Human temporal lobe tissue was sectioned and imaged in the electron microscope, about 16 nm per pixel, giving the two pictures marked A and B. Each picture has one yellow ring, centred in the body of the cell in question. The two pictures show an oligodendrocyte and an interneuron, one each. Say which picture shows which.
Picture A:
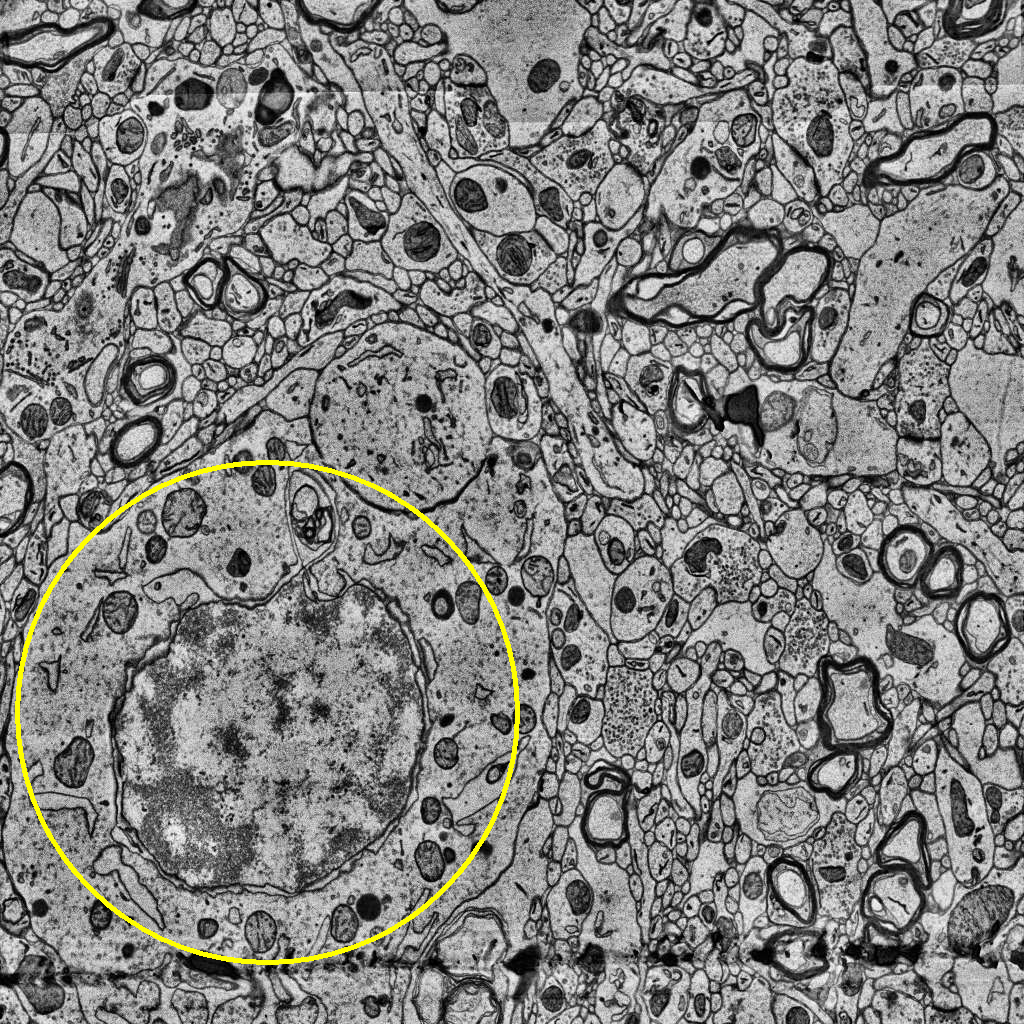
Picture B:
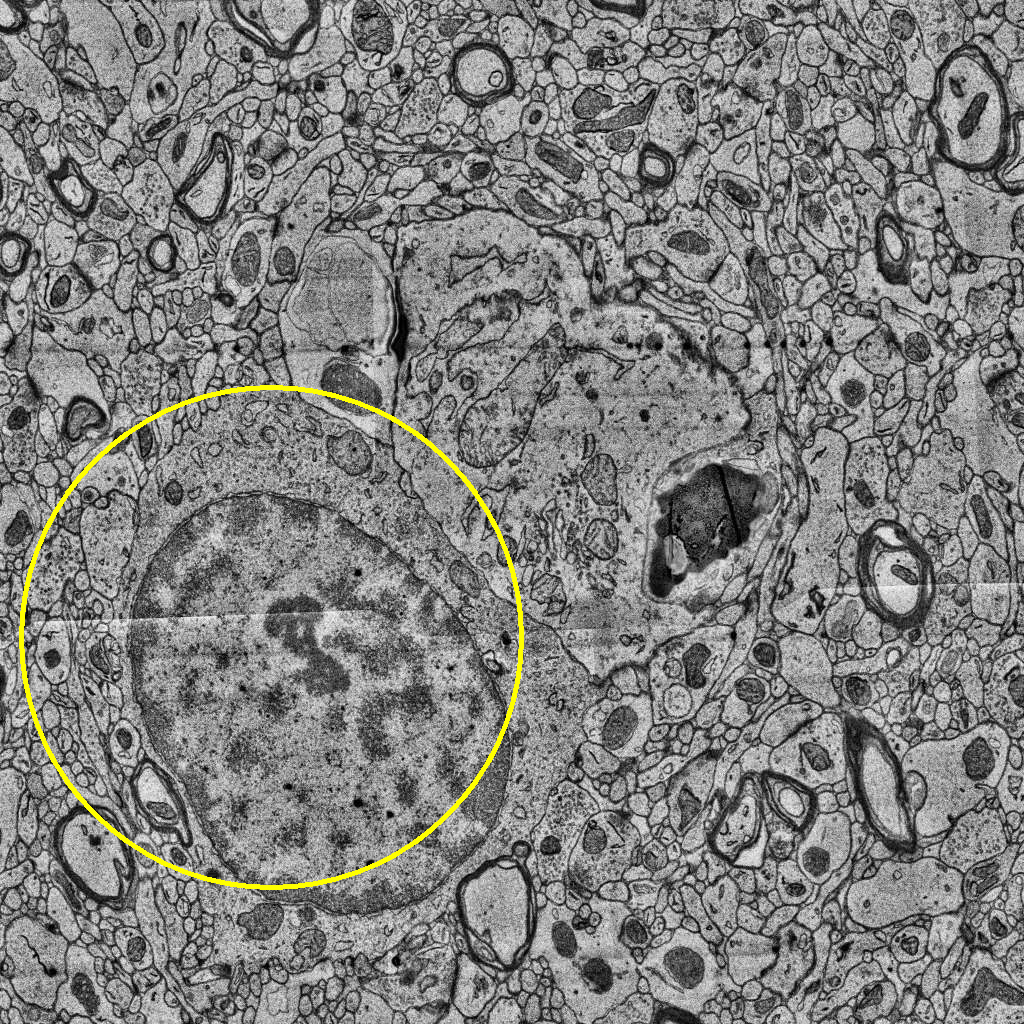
Picture A shows an interneuron and picture B shows an oligodendrocyte.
